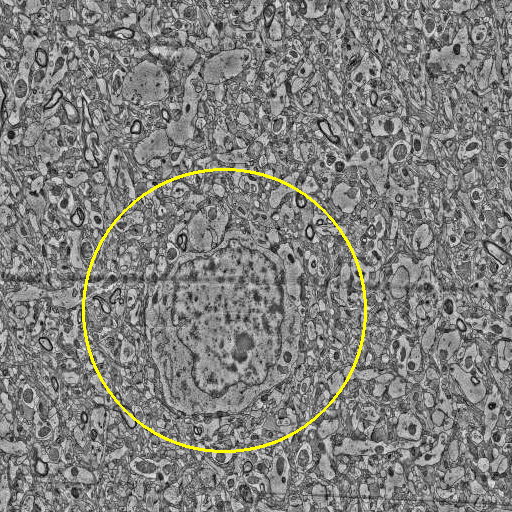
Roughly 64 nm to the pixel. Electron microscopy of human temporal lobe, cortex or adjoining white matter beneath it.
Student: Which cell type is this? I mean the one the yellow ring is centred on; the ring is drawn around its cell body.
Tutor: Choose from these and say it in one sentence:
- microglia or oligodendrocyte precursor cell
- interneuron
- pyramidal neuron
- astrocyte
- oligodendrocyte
The cell the ring is centred on is an interneuron.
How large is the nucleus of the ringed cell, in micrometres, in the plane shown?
In this plane, roughly 10 by 8 micrometres.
